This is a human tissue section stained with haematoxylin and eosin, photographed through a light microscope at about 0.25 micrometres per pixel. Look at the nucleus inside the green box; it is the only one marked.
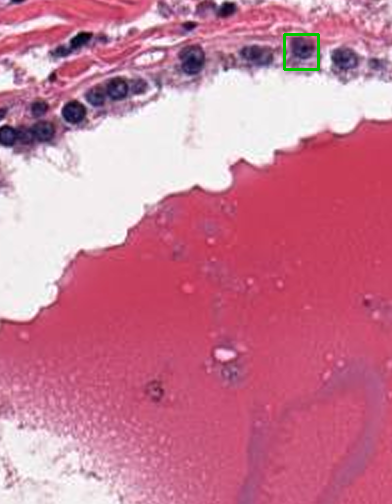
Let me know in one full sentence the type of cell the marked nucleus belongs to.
To a thyroid follicular cell belongs the marked nucleus.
